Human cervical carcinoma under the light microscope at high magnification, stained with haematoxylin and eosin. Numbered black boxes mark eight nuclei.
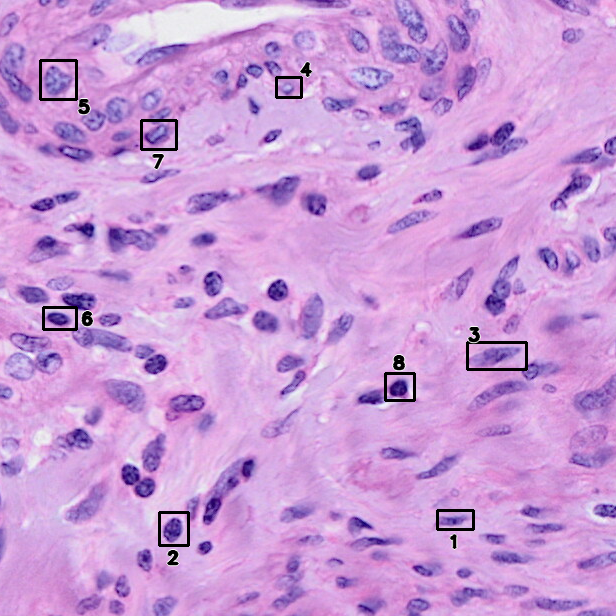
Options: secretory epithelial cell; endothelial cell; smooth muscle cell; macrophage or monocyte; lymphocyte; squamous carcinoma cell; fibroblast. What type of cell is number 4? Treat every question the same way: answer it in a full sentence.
Classified as a smooth muscle cell is the cell with the number 4.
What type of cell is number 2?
The mark numbered 2 indicates the nucleus of a lymphocyte.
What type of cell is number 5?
Of the numbered cells, the one labelled 5 is a smooth muscle cell.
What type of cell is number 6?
Identified as a lymphocyte is the cell bearing the number 6.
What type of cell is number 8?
The nucleus labelled 8 belongs to a lymphocyte.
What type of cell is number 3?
The correct answer for cell 3 is a fibroblast.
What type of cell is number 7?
At number 7, the marked cell is a smooth muscle cell.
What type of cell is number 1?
In the marked set, the cell given number 1 is a fibroblast.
